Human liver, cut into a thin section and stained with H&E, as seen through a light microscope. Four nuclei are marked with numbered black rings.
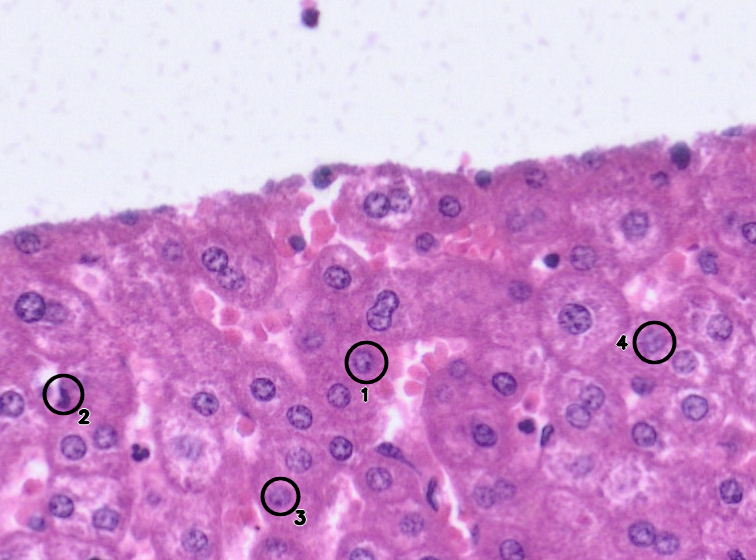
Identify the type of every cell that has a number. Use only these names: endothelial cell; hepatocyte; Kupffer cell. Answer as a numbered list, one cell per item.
1. hepatocyte
2. endothelial cell
3. hepatocyte
4. hepatocyte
